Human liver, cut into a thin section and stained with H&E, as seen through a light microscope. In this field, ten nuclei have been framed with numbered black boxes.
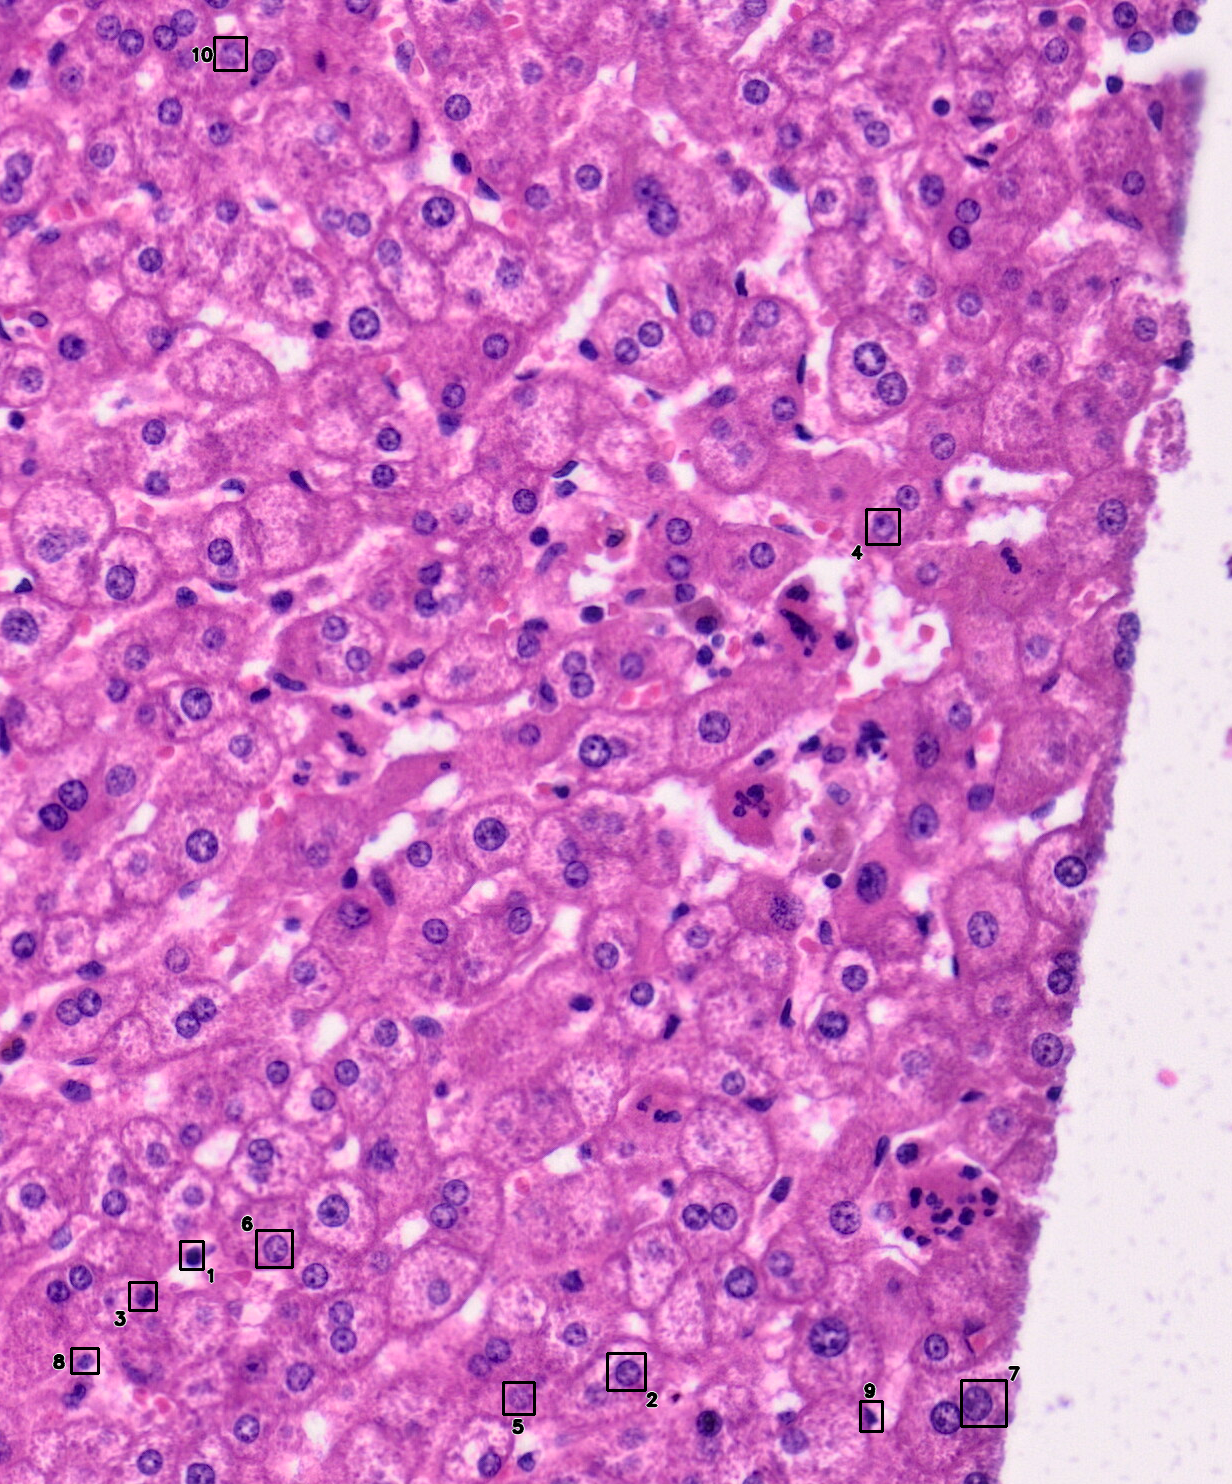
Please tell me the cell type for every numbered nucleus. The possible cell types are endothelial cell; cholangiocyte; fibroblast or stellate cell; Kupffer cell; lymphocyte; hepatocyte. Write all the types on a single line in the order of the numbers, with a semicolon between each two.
lymphocyte; hepatocyte; fibroblast or stellate cell; hepatocyte; hepatocyte; hepatocyte; hepatocyte; lymphocyte; endothelial cell; hepatocyte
